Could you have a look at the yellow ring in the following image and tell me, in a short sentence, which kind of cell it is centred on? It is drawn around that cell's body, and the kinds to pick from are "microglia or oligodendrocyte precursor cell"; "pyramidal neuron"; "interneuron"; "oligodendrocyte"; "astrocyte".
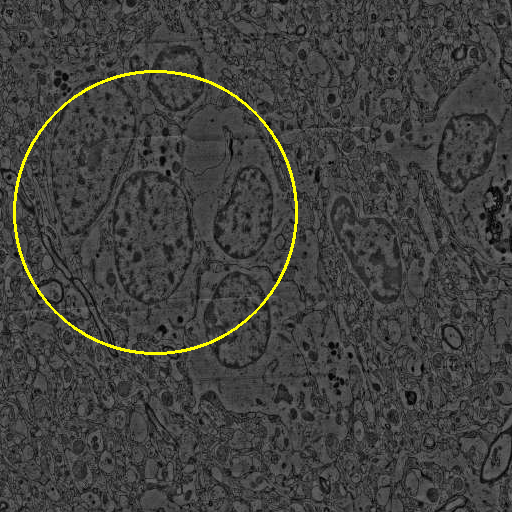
The ring is centred on the body of an astrocyte.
